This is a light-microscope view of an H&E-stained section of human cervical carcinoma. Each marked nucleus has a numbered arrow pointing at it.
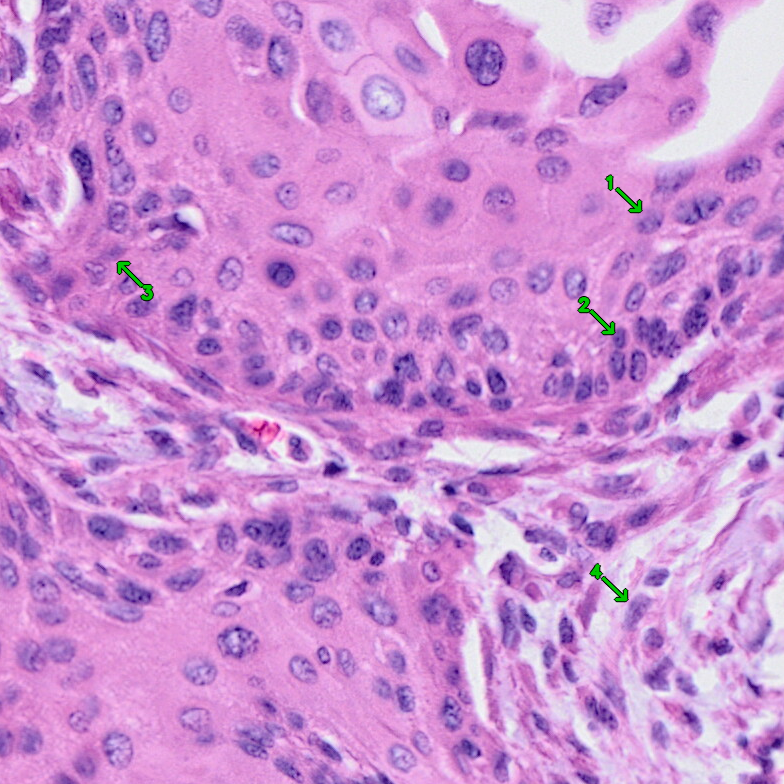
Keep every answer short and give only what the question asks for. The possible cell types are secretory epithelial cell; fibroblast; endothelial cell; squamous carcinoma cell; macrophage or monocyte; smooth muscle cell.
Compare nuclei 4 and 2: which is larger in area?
4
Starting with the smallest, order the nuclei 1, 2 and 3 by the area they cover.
2, 3, 1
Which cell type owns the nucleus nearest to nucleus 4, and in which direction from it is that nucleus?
a macrophage or monocyte below and to the right of nucleus 4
